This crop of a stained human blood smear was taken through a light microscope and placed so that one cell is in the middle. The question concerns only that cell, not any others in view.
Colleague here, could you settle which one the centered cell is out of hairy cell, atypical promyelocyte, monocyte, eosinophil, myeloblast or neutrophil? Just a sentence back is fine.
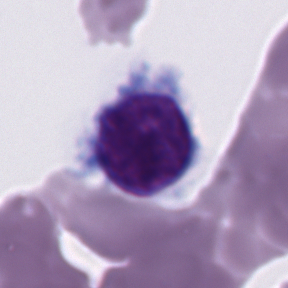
The cell marked by its central position in the crop is a hairy cell.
